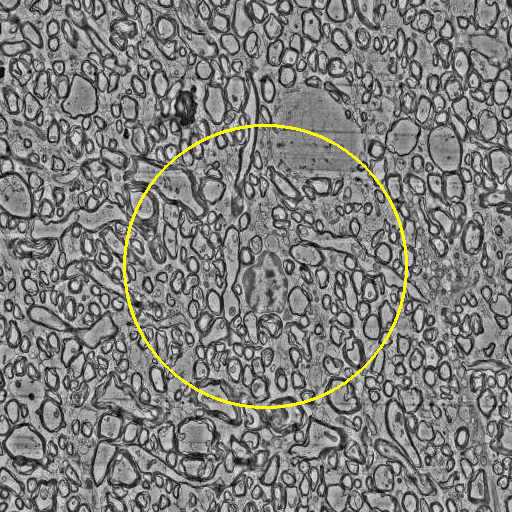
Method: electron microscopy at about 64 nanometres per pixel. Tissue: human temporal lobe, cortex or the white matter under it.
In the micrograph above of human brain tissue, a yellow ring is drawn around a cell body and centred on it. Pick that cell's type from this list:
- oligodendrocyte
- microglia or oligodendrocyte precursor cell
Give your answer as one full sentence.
Going by the list, a microglial cell or oligodendrocyte precursor cell is the cell on which the yellow ring is centred.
